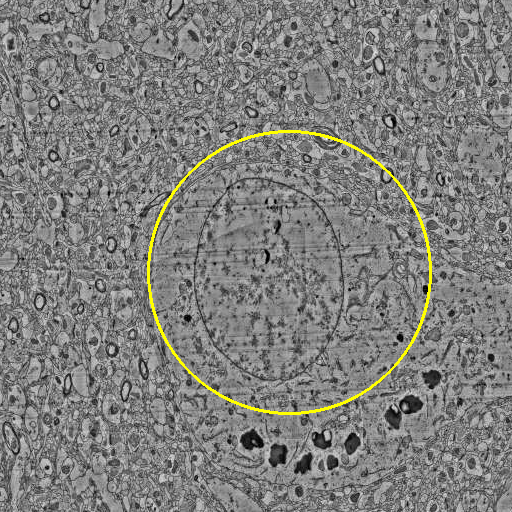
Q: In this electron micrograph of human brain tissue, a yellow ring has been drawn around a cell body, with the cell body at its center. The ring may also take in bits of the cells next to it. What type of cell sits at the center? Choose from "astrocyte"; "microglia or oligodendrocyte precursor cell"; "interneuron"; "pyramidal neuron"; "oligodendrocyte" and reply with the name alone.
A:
pyramidal neuron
